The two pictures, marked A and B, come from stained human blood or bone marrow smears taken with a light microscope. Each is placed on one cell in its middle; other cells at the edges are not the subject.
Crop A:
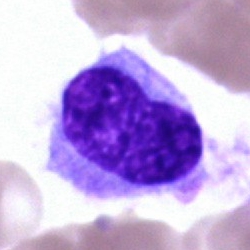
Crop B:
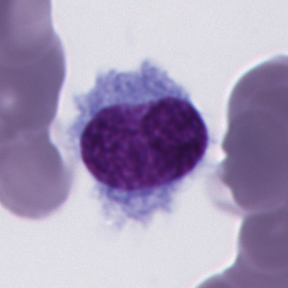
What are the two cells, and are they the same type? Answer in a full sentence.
Yes, in both crops, hairy cells are the cells at the middle.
